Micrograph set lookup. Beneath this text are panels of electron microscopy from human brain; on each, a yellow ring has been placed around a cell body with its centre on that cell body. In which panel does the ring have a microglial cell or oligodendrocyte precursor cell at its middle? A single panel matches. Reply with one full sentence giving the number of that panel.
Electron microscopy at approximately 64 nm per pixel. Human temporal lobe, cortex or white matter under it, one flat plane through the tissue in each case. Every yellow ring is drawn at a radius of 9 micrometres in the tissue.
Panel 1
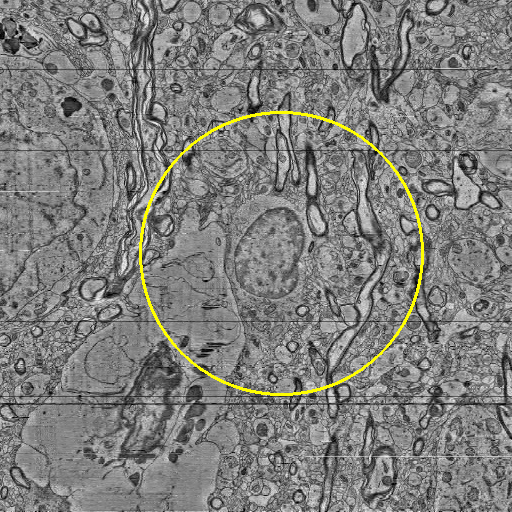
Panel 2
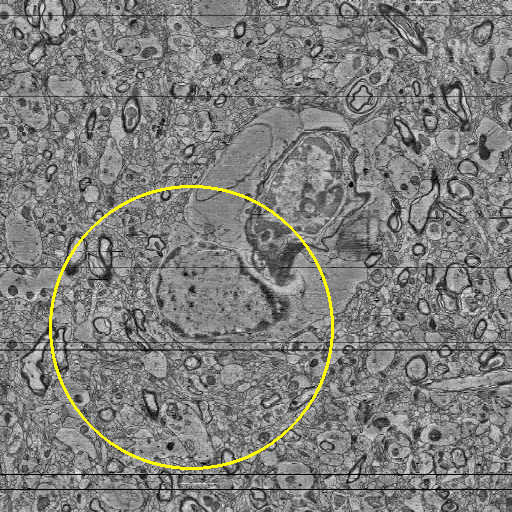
Panel 2 is the one whose ring has the sought cell at its centre.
